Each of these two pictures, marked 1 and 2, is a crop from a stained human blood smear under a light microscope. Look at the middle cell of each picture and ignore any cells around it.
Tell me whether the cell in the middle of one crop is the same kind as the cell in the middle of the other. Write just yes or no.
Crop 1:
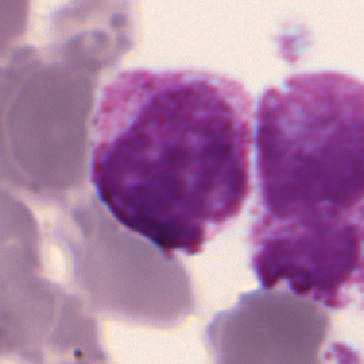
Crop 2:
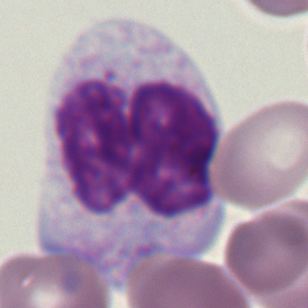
no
